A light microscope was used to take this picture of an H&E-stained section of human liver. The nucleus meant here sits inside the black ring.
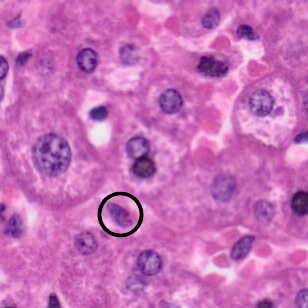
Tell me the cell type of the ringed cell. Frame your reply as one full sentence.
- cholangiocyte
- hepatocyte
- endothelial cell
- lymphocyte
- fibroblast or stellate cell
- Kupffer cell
As far as its identity is concerned, the ringed cell is a Kupffer cell.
